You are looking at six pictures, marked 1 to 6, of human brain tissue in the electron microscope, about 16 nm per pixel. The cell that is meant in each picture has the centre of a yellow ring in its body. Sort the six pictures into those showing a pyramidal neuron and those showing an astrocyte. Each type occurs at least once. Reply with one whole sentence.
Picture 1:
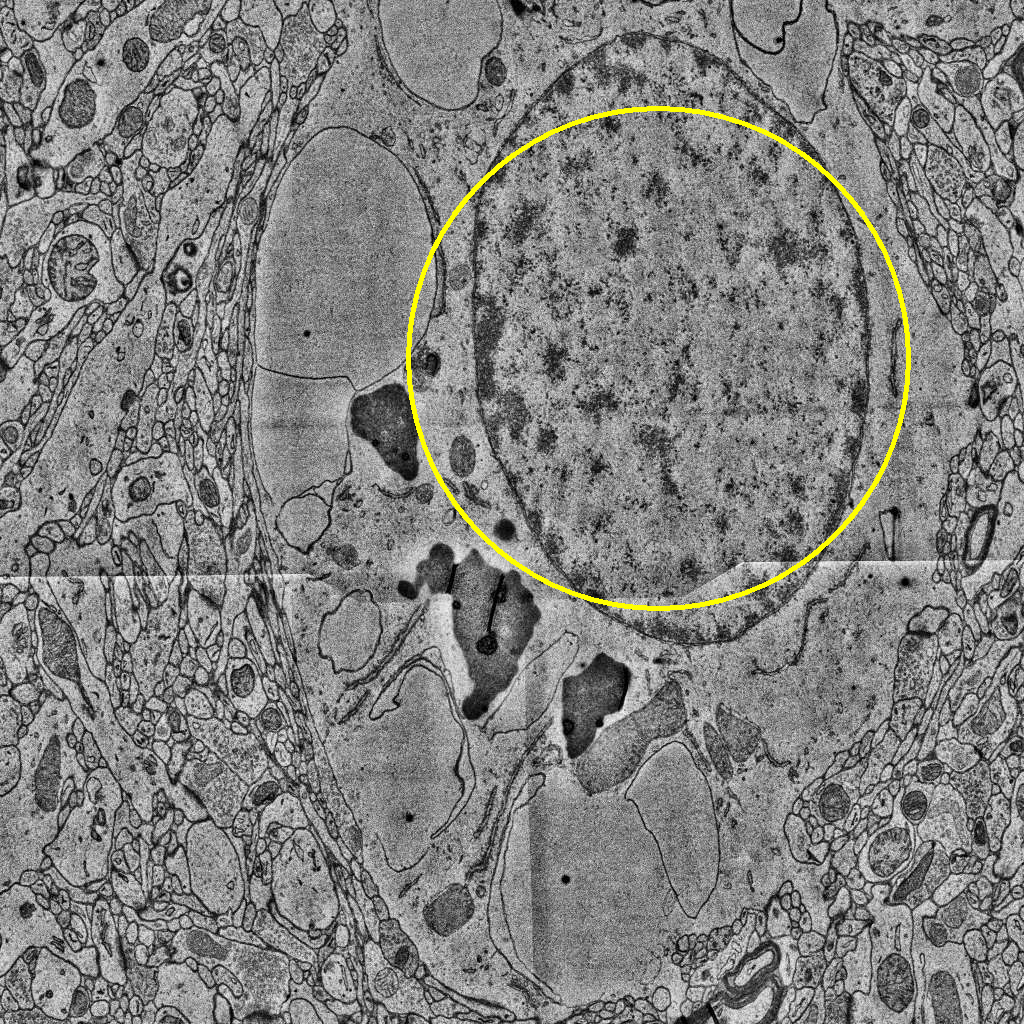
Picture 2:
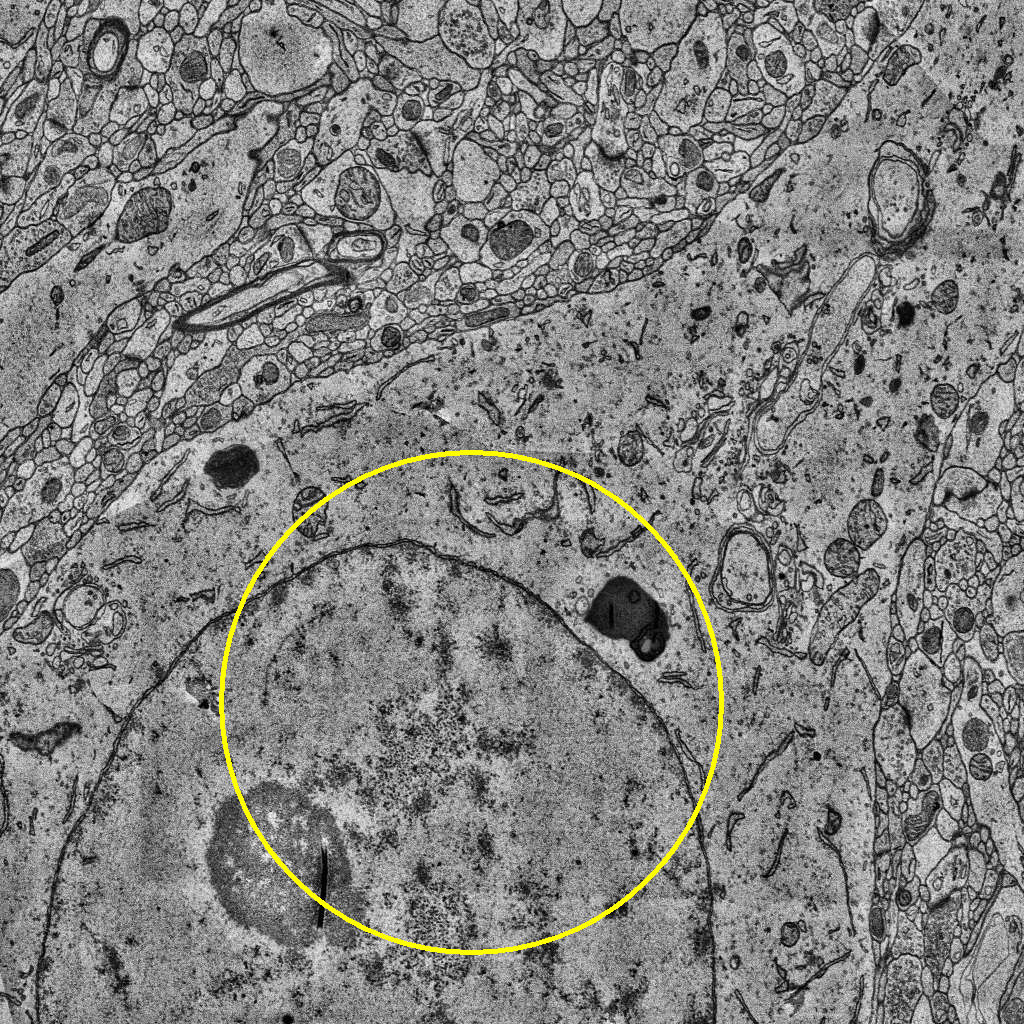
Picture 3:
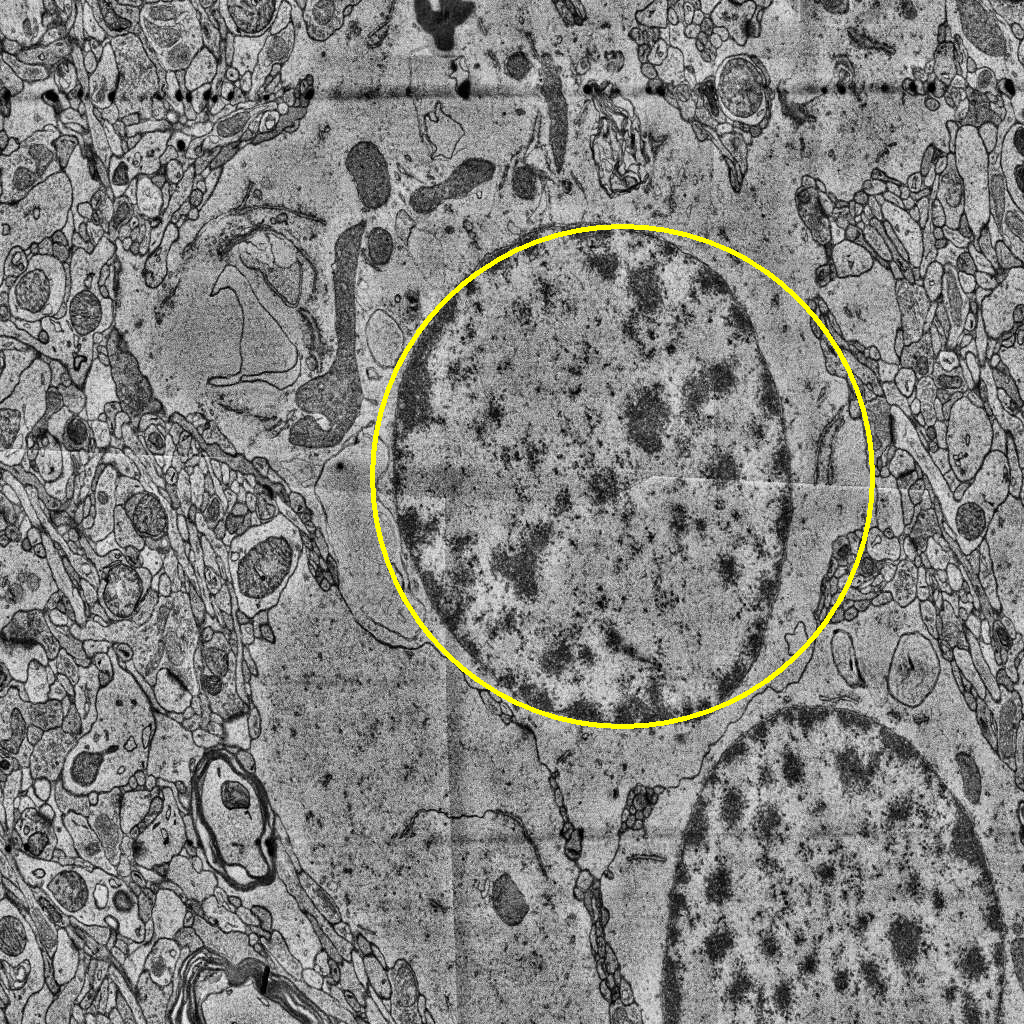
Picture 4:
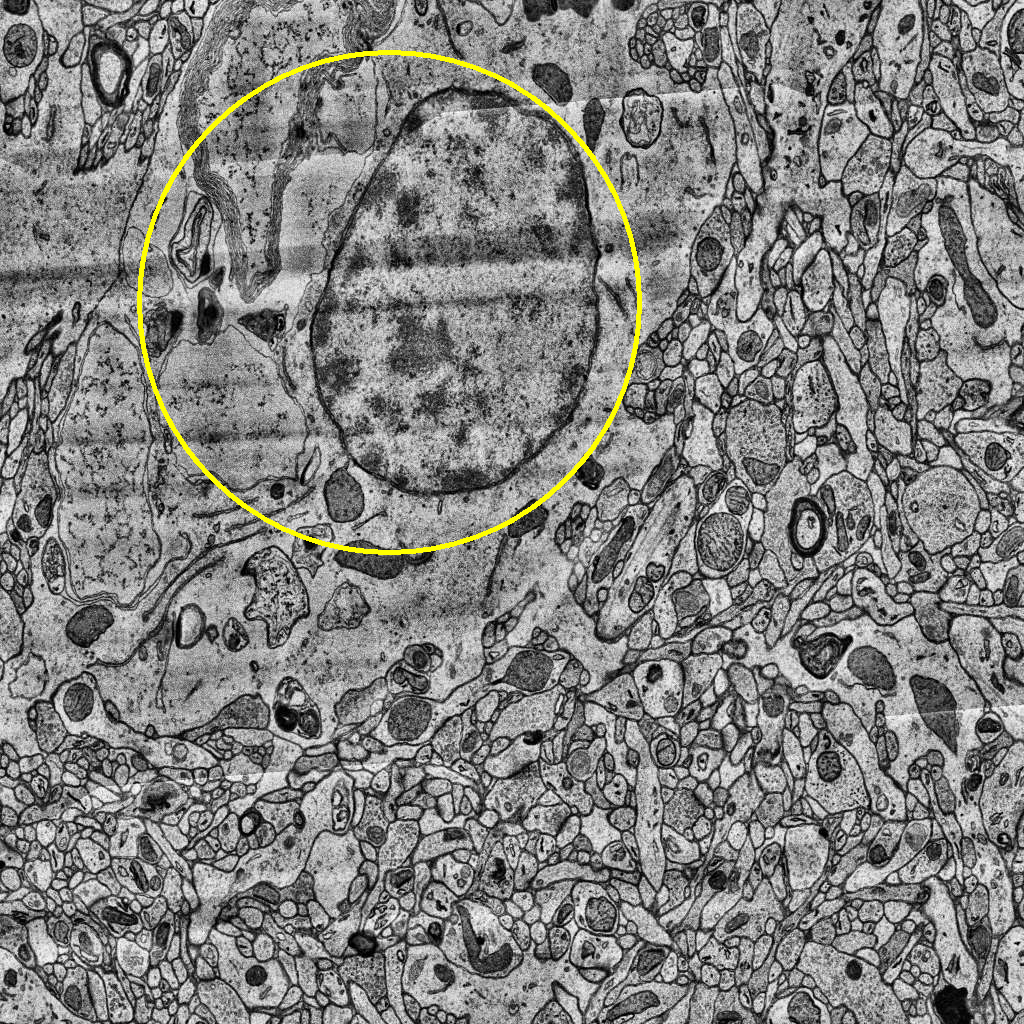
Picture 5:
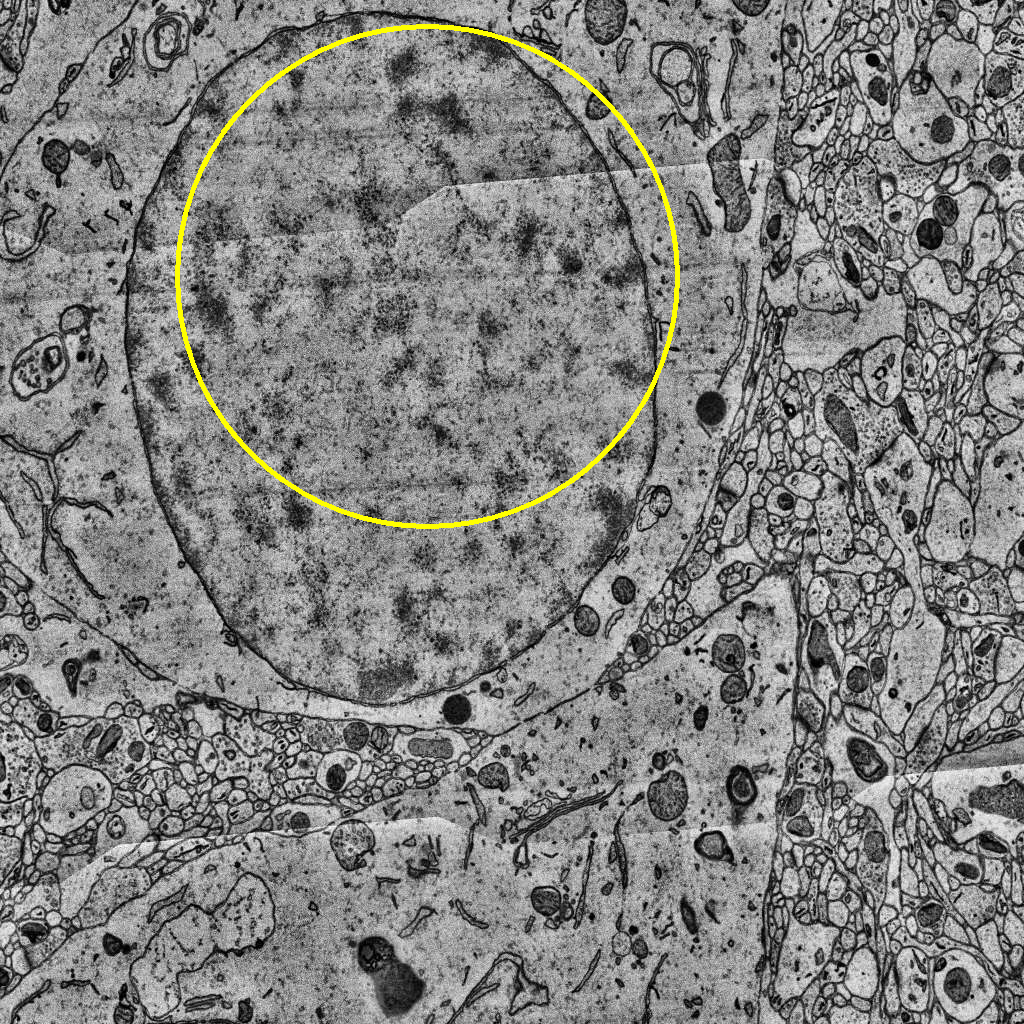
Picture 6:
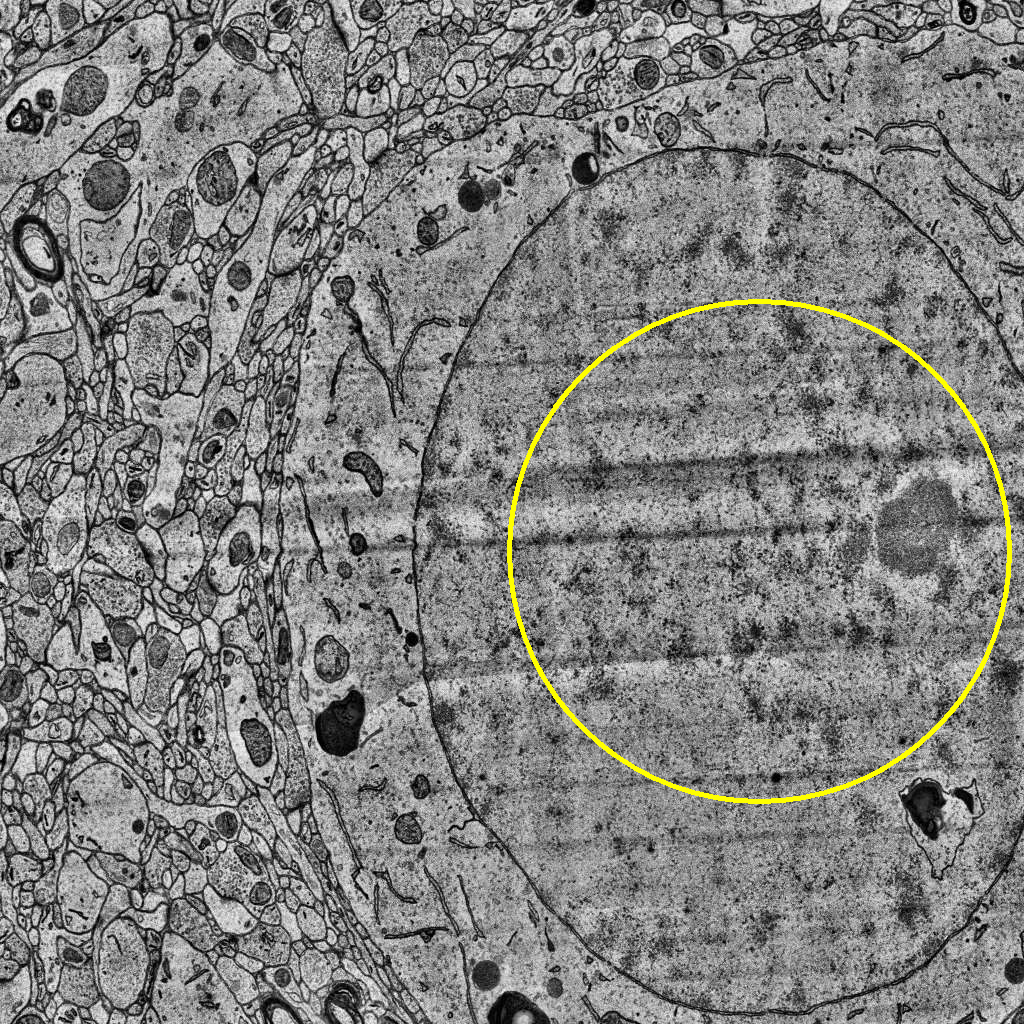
Pictures 2, 5 and 6 show pyramidal neurons, while pictures 1, 3 and 4 show astrocytes.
